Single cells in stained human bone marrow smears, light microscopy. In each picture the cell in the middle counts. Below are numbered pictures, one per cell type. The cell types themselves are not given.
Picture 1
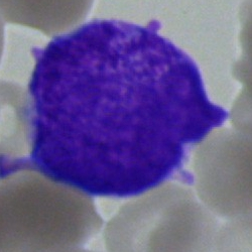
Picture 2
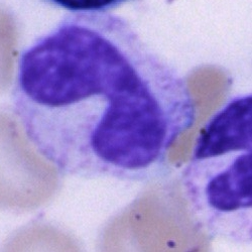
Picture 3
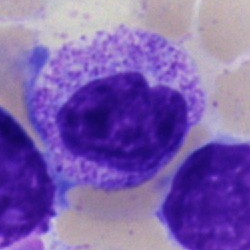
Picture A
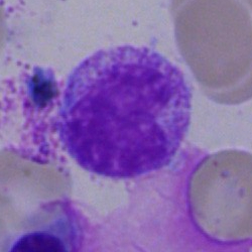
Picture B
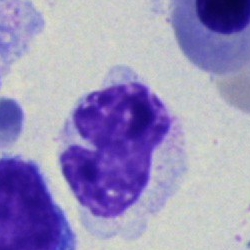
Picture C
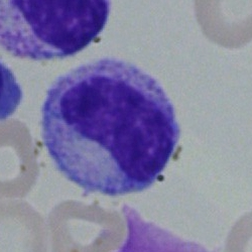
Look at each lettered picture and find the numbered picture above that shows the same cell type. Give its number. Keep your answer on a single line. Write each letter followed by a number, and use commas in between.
A 3, B 2, C 3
